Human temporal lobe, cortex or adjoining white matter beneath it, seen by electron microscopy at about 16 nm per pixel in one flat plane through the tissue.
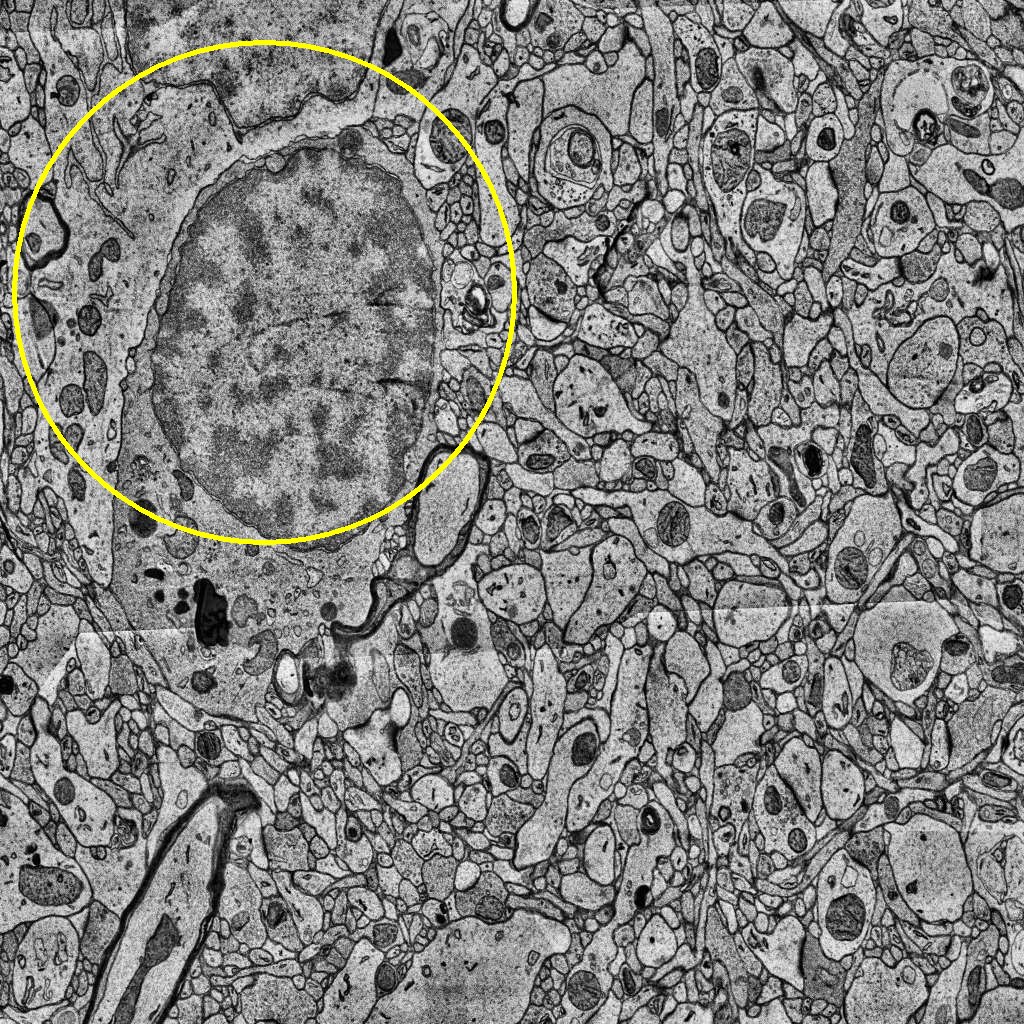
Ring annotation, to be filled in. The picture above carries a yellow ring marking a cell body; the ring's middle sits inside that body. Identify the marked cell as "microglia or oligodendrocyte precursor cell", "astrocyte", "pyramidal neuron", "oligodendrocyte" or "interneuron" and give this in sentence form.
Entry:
The cell at the middle of the ring is an oligodendrocyte.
